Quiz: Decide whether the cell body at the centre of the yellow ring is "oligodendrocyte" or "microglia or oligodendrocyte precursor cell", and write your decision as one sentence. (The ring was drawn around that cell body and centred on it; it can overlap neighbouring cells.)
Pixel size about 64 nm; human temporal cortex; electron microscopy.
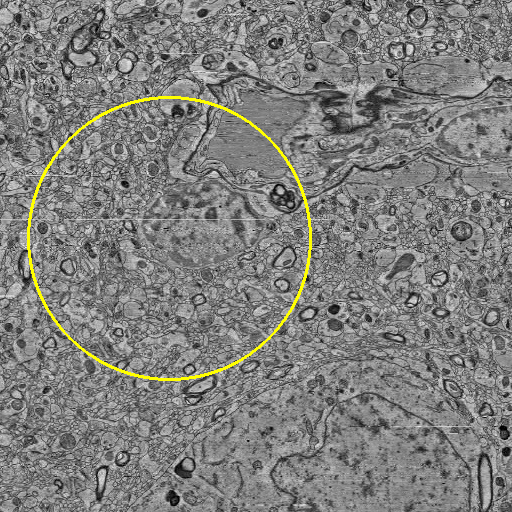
The cell the ring is centred on is an oligodendrocyte.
